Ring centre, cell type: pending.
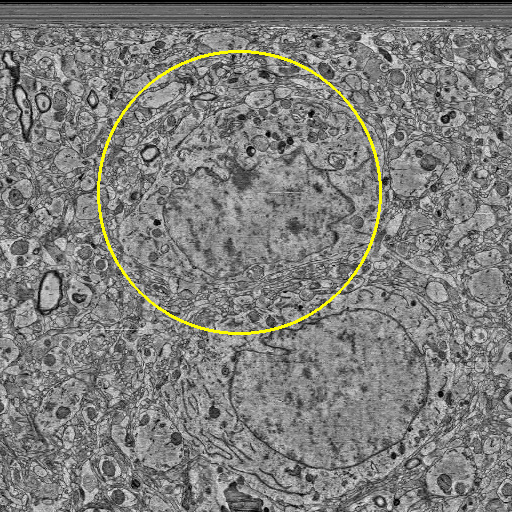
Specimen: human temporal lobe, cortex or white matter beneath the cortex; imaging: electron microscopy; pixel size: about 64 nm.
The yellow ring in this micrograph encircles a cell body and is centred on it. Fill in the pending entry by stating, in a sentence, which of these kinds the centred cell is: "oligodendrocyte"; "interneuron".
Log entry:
The centred cell is recorded as an interneuron.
